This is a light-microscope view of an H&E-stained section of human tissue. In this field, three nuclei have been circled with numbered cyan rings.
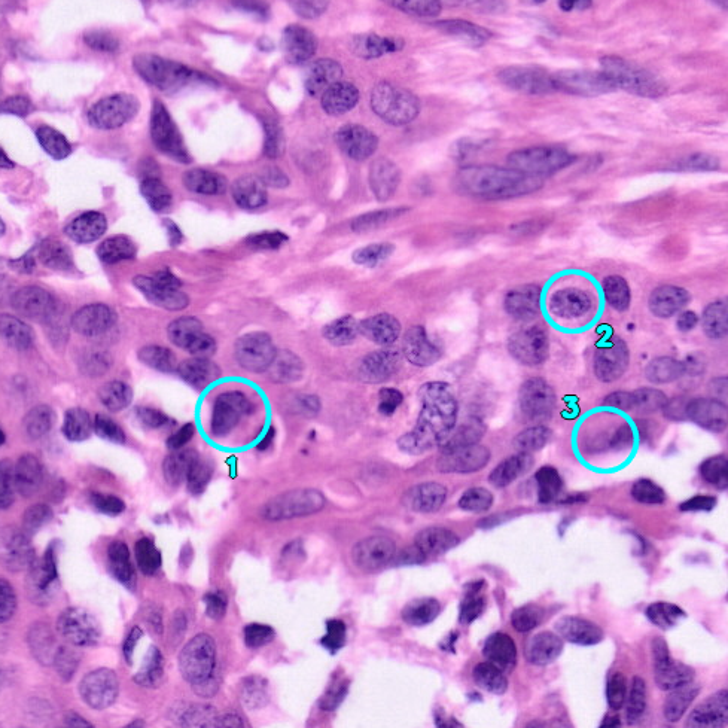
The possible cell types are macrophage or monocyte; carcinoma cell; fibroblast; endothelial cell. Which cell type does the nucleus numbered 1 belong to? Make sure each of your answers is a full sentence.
The cell whose nucleus carries the number 1 is a carcinoma cell.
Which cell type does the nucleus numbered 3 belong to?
The cell that is numbered 3 is a carcinoma cell.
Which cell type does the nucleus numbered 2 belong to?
Regarding cell 2, this one is a macrophage or monocyte.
